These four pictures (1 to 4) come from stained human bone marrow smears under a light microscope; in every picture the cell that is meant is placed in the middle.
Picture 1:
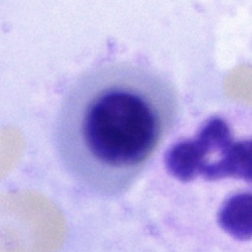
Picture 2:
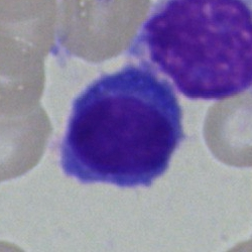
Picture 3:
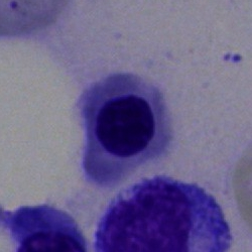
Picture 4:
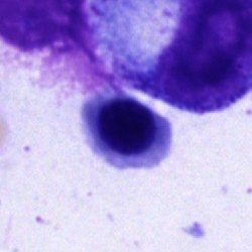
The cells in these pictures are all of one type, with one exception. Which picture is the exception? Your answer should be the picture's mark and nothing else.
2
